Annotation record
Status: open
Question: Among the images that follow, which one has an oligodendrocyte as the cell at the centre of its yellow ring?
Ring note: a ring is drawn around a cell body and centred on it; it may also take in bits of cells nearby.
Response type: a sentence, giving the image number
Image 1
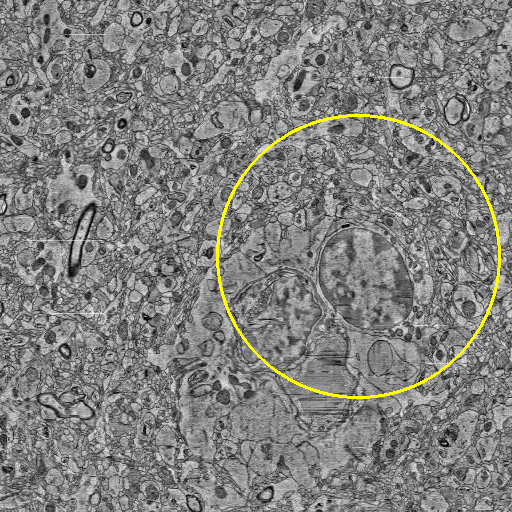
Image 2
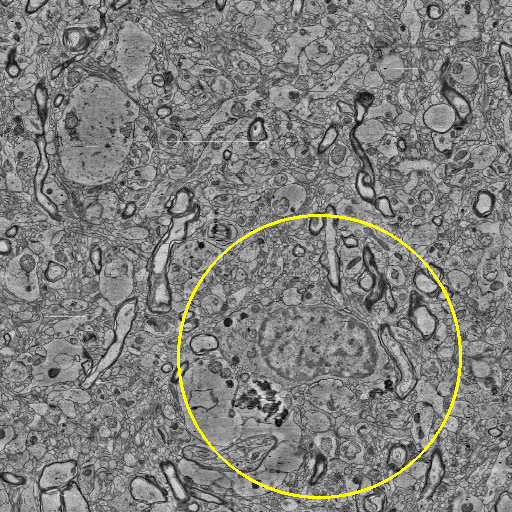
Image 2 shows it at the centre of its ring.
